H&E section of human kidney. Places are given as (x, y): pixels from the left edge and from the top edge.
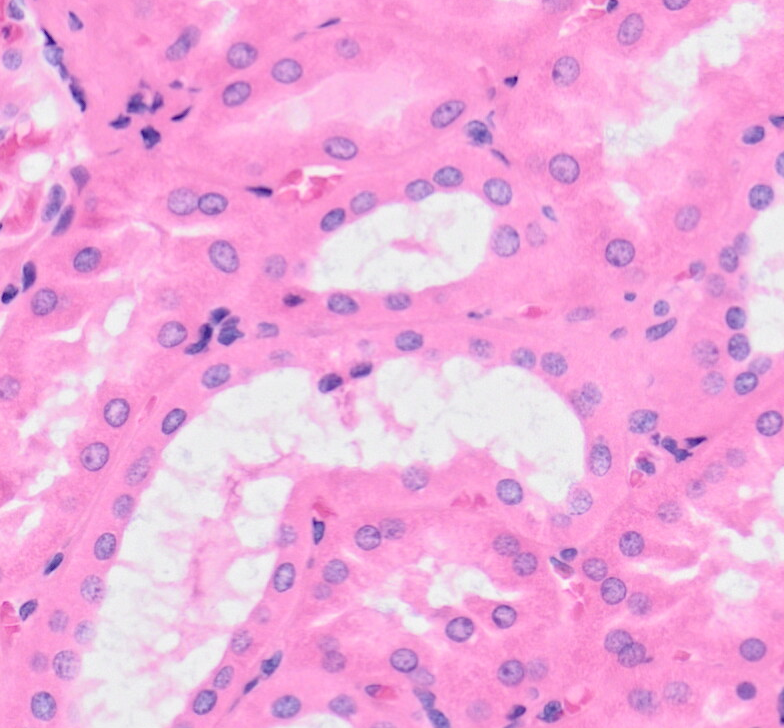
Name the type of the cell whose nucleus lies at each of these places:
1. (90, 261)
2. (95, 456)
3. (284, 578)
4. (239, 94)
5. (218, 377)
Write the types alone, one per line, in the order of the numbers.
proximal tubule cell
proximal tubule cell
loop of Henle or distal tubule cell
proximal tubule cell
loop of Henle or distal tubule cell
